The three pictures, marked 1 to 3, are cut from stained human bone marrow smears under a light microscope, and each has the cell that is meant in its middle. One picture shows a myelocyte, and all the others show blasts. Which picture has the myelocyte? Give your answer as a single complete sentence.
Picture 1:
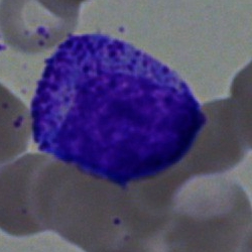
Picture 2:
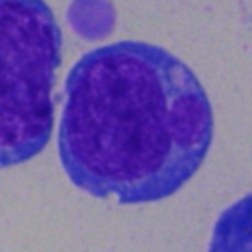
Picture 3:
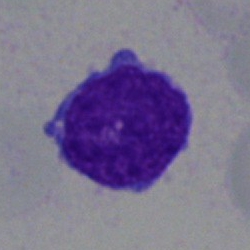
The myelocyte is the one in picture 1.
